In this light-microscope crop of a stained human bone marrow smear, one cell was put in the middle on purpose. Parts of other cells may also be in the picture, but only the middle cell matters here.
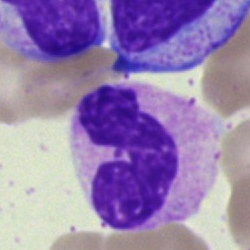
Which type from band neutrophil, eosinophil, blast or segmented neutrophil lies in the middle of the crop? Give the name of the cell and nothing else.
segmented neutrophil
